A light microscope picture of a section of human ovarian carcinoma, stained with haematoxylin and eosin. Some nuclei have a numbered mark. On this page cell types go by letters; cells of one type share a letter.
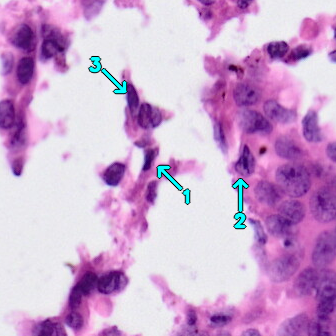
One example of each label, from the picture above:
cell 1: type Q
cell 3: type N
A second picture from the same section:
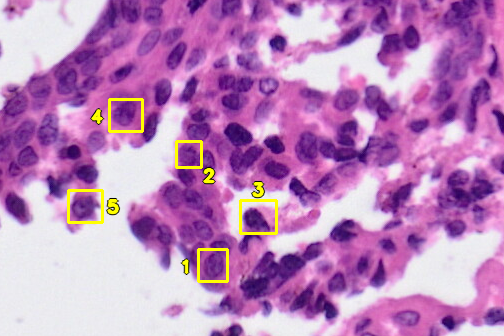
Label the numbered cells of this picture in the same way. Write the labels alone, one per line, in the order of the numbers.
type N
type N
type Q
type N
type Q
